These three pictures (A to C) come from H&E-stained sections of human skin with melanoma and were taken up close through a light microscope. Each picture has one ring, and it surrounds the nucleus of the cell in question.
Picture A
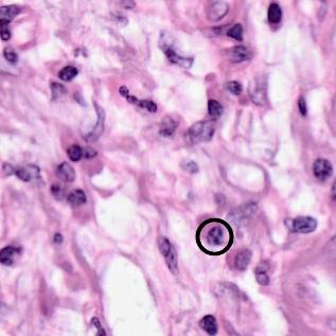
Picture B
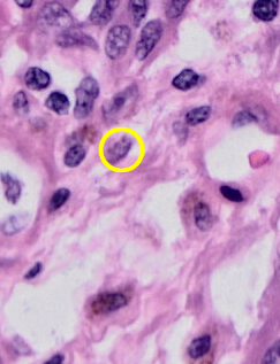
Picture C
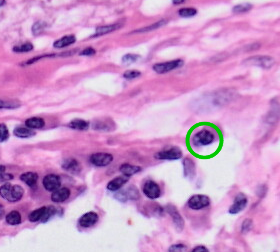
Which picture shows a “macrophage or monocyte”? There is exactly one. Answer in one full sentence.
The picture with the “macrophage or monocyte” is B.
